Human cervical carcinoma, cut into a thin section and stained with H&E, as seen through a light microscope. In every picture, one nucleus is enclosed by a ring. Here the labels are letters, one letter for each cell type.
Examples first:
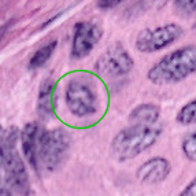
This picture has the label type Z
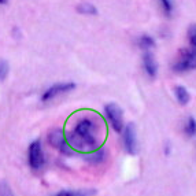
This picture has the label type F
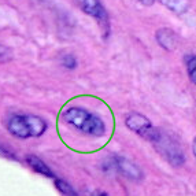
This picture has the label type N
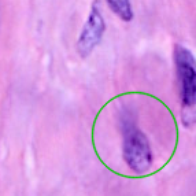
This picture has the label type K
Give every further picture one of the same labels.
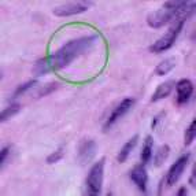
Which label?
type K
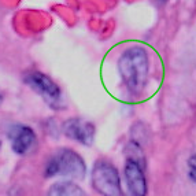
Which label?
type F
